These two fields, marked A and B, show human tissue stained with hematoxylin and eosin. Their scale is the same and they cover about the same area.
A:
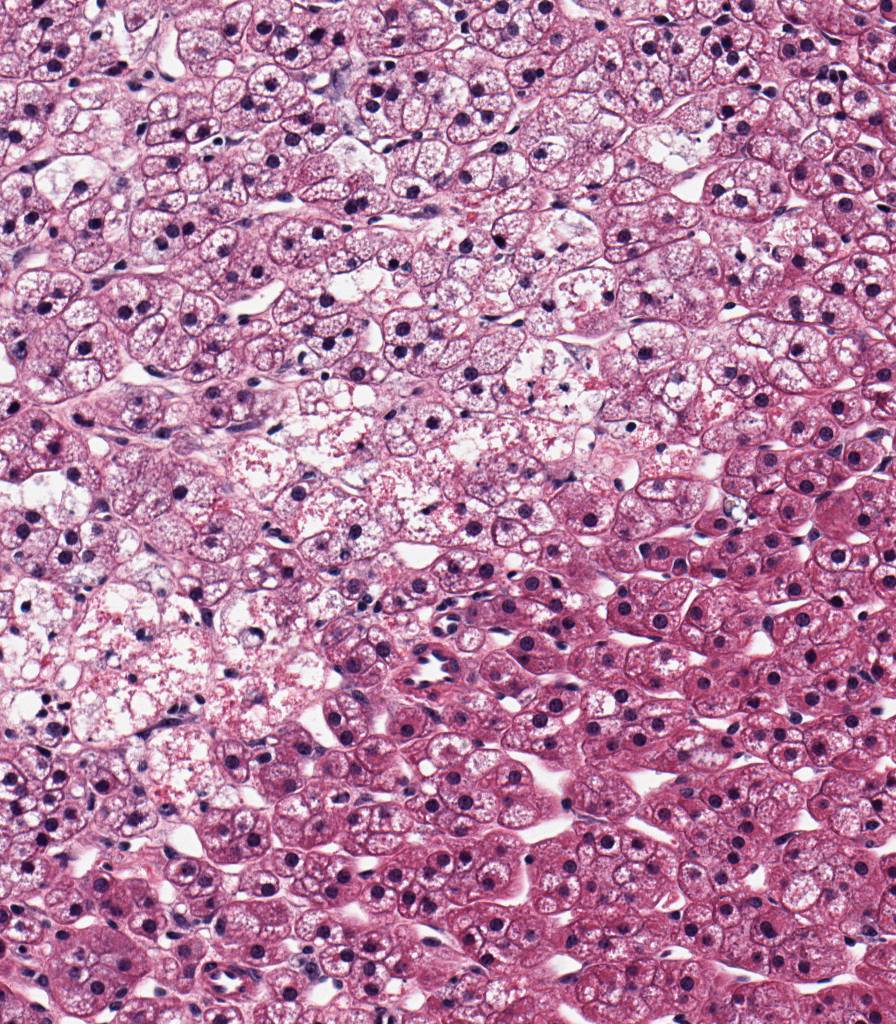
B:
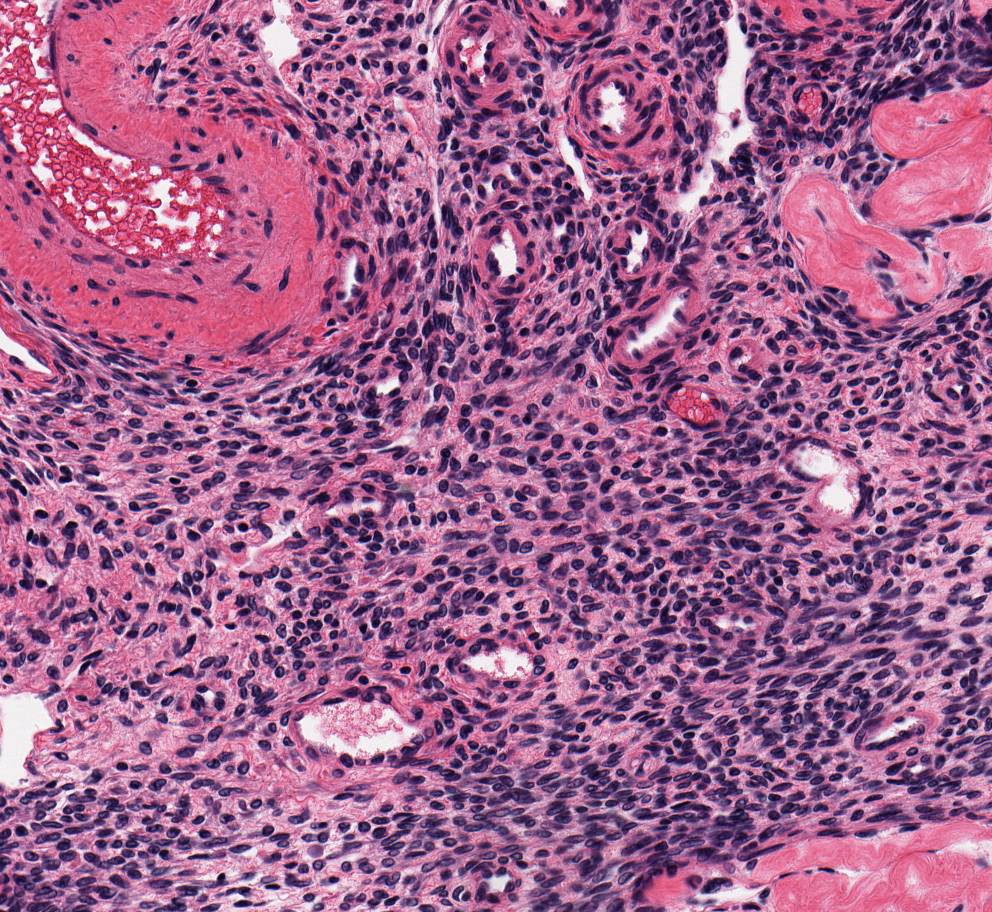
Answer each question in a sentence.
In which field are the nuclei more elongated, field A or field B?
It is field B whose nuclei are the more elongated.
